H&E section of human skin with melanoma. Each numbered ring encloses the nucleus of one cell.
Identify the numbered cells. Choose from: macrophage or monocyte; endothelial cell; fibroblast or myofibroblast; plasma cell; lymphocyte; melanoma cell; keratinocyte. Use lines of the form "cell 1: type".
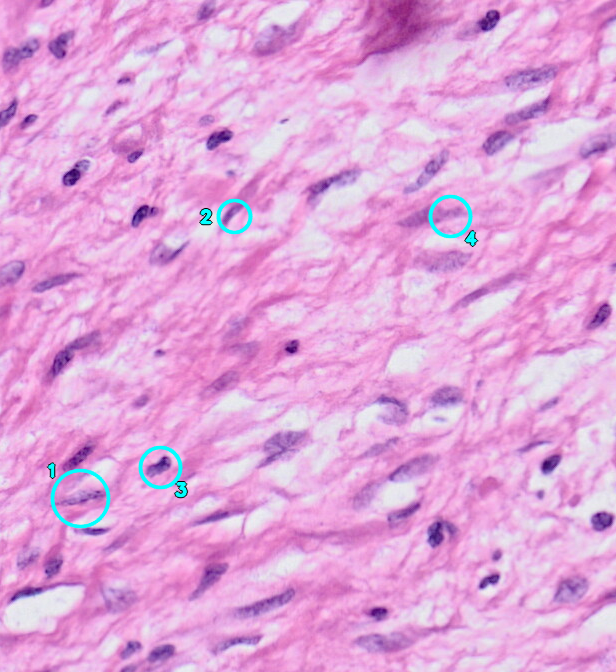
cell 1: fibroblast or myofibroblast
cell 2: fibroblast or myofibroblast
cell 3: lymphocyte
cell 4: fibroblast or myofibroblast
